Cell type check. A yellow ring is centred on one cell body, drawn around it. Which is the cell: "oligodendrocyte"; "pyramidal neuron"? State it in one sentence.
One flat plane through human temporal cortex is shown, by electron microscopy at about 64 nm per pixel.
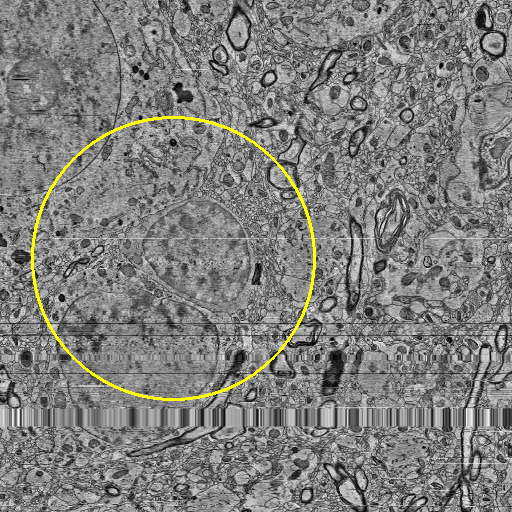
The cell body at the ring's centre belongs to an oligodendrocyte.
